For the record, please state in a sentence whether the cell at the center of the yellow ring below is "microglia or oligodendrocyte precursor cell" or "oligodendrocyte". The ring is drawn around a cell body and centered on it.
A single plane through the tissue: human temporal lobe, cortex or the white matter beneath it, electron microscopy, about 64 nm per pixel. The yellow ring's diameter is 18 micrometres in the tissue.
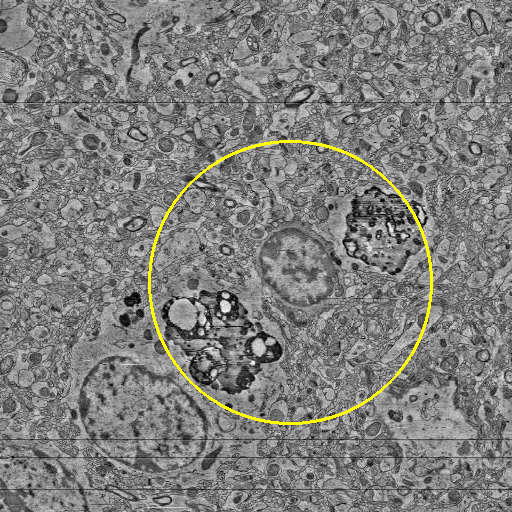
The cell at the ring's center is an oligodendrocyte.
